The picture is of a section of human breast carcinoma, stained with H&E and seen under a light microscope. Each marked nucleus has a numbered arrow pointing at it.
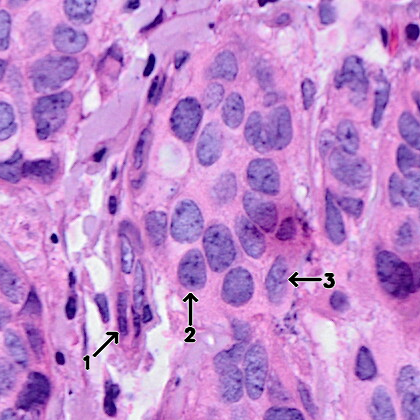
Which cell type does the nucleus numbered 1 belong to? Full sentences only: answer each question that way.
The cell to which the number 1 is assigned is an endothelial cell.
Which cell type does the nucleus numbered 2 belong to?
The marked cell with the number 2 is recognised as a carcinoma cell.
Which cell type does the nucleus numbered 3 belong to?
The one labeled 3 is a carcinoma cell, to put it simply.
